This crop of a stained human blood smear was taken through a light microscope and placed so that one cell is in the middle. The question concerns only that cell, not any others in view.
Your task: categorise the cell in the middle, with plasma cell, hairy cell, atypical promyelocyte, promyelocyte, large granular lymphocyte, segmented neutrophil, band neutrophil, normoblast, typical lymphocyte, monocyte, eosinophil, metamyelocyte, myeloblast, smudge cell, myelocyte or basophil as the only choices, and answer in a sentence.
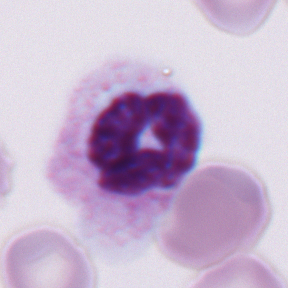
Regarding the central cell, it is a segmented neutrophil.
